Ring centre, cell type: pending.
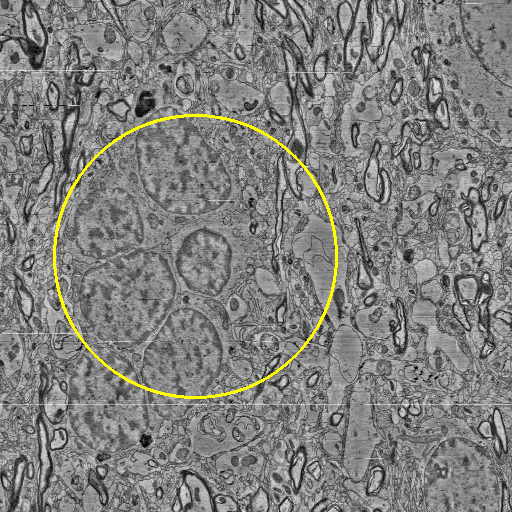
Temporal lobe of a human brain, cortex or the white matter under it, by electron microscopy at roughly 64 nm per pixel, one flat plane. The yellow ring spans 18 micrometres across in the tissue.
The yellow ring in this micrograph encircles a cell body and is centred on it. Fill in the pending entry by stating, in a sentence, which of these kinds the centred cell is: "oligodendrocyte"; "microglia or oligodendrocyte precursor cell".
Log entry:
The centred cell is recorded as an oligodendrocyte.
